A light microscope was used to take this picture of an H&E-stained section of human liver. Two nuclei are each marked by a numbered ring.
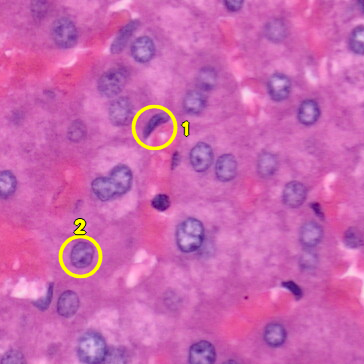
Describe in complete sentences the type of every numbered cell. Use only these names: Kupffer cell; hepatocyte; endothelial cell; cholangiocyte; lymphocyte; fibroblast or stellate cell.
Cell 1 is an endothelial cell. Cell 2 is a hepatocyte.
